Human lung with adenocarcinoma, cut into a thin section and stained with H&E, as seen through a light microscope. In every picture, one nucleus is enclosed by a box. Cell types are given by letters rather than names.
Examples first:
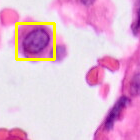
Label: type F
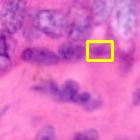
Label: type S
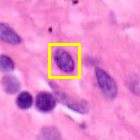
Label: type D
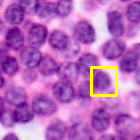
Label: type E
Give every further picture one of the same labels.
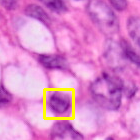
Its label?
type S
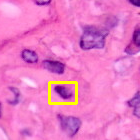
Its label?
type D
